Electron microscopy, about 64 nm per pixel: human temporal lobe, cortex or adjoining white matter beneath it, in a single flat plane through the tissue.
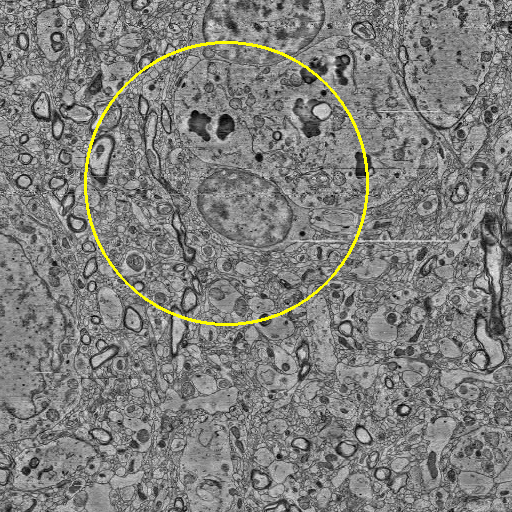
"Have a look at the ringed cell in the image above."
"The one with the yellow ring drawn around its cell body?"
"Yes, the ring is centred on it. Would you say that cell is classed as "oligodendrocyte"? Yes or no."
yes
